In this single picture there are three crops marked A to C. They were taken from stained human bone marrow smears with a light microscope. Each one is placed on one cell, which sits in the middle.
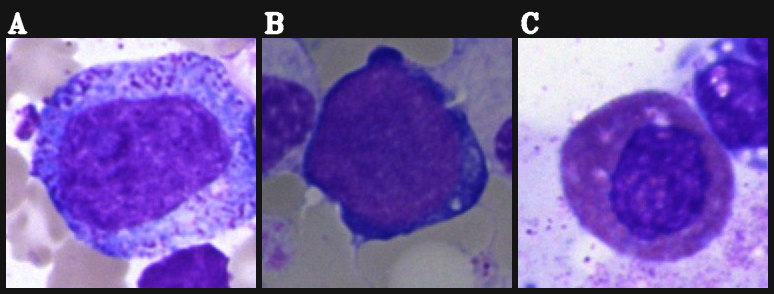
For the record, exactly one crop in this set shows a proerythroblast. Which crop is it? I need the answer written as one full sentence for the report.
Identified crop: B, the one that shows a proerythroblast.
